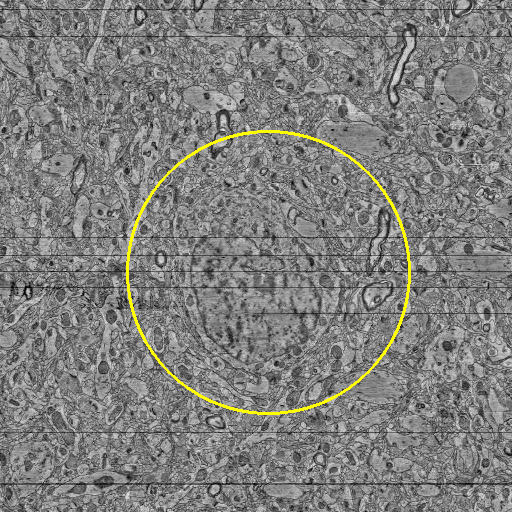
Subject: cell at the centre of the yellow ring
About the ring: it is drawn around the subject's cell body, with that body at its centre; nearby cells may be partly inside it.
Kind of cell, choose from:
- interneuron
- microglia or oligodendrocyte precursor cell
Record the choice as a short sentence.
The subject cell is an interneuron.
